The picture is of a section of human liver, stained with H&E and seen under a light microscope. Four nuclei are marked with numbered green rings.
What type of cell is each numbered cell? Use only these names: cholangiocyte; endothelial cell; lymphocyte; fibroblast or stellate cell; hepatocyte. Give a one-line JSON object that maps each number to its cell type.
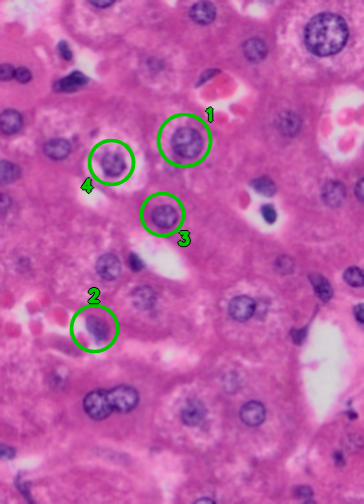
{"1": "hepatocyte", "2": "endothelial cell", "3": "hepatocyte", "4": "hepatocyte"}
